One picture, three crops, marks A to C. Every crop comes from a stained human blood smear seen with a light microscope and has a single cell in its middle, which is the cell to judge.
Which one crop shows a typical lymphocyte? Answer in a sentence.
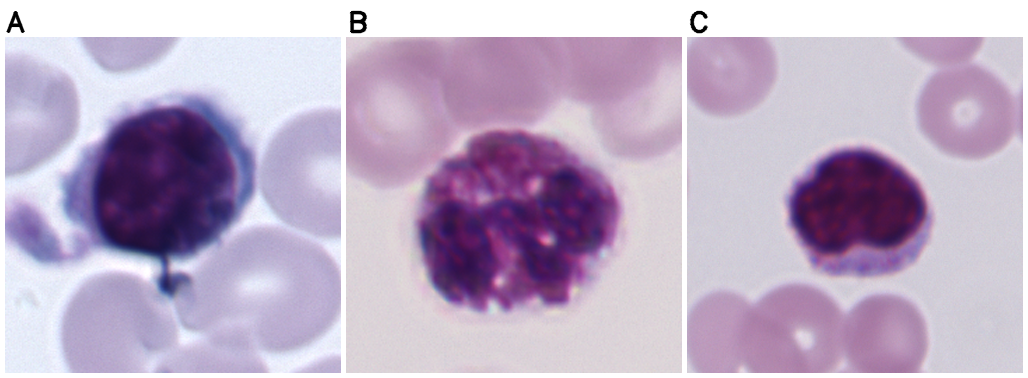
The crop showing a typical lymphocyte in this series is crop A.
